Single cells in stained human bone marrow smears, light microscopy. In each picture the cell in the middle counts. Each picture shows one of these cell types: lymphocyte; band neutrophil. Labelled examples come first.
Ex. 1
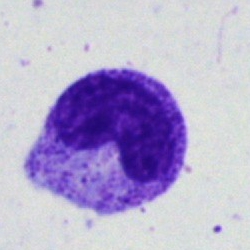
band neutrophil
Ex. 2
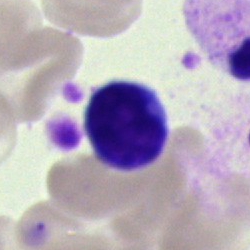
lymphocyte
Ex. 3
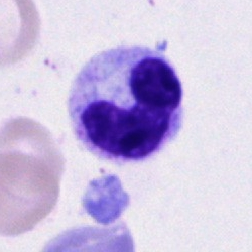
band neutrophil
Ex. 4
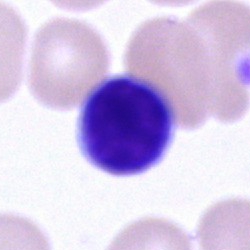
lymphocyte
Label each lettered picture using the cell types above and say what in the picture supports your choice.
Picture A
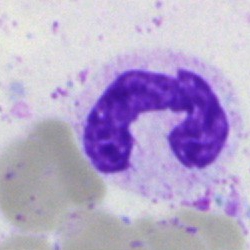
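band neutrophil: The nucleus is curved into a horseshoe with its opening facing downward.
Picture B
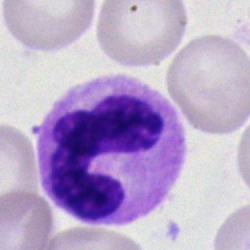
band neutrophil: The nucleus is a curved, unsegmented band shaped like a horseshoe.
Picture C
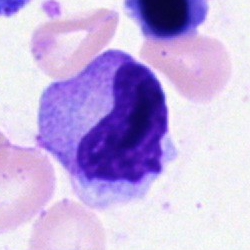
band neutrophil: The cytoplasm is abundant, taking up about the left half of the cell.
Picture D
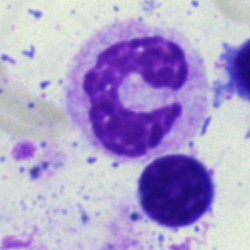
band neutrophil: The nucleus is a thick C-shaped band whose opening faces right.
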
